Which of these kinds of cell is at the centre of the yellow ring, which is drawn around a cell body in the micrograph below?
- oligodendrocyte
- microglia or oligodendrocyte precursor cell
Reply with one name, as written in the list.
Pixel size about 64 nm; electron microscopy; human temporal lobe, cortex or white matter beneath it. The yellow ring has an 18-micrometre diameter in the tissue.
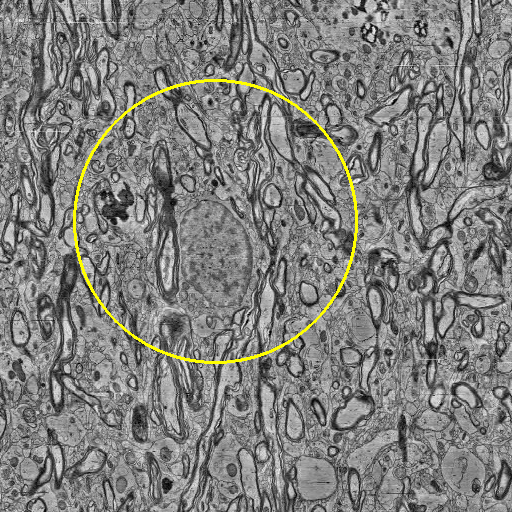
oligodendrocyte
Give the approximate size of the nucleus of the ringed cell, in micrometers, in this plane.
In this plane the nucleus is about 7 micrometres by 5.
